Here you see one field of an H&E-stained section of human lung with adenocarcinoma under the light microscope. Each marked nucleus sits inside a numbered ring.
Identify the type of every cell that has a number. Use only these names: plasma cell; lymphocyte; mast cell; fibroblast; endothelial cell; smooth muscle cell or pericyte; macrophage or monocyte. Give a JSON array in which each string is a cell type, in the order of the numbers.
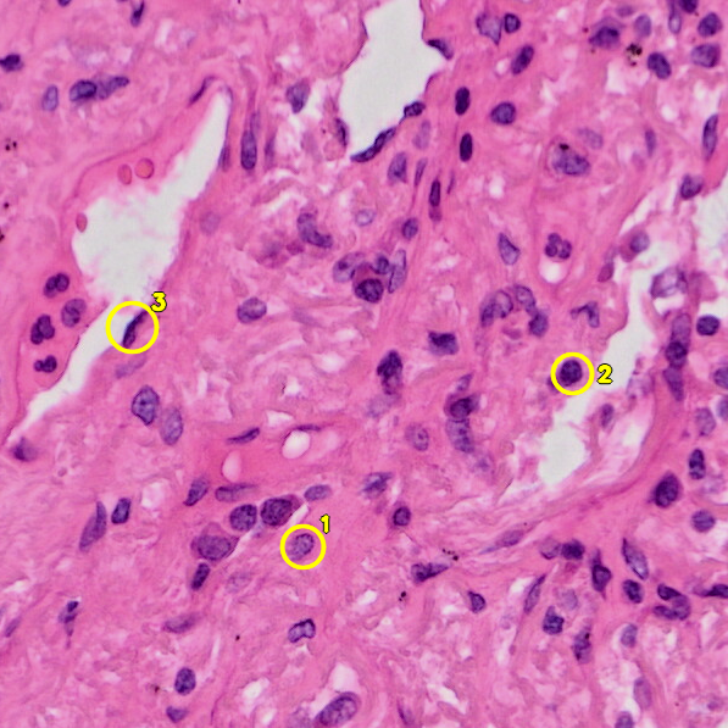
["mast cell", "lymphocyte", "endothelial cell"]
